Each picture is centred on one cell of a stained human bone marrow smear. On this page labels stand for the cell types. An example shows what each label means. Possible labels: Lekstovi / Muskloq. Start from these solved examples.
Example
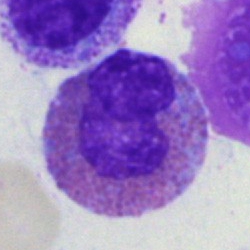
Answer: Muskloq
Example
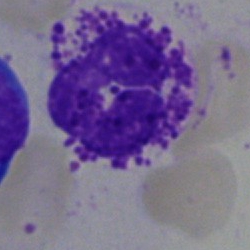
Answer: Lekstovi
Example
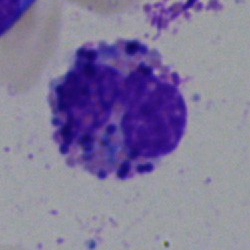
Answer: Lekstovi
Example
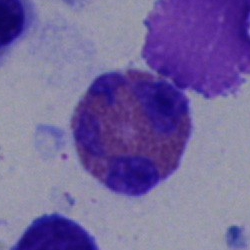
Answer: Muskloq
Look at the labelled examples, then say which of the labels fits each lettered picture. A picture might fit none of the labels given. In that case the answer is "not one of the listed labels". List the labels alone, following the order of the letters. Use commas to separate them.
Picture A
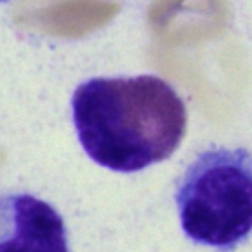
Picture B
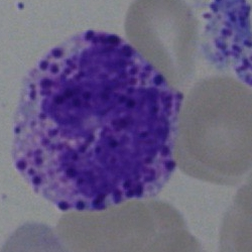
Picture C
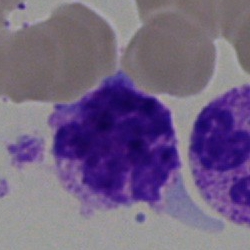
Lekstovi, Lekstovi, Lekstovi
